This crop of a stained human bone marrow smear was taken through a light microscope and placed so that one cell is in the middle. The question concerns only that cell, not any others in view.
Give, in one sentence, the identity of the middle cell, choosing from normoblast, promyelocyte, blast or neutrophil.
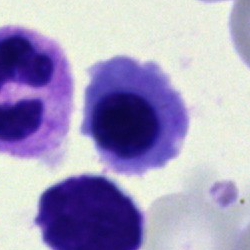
Present in the middle of the crop is a normoblast.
